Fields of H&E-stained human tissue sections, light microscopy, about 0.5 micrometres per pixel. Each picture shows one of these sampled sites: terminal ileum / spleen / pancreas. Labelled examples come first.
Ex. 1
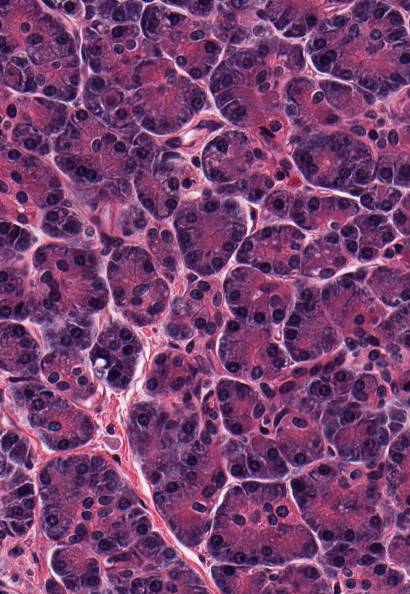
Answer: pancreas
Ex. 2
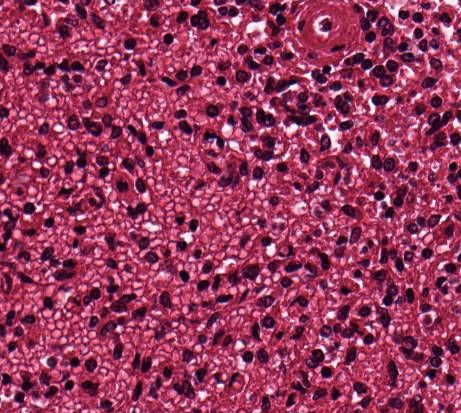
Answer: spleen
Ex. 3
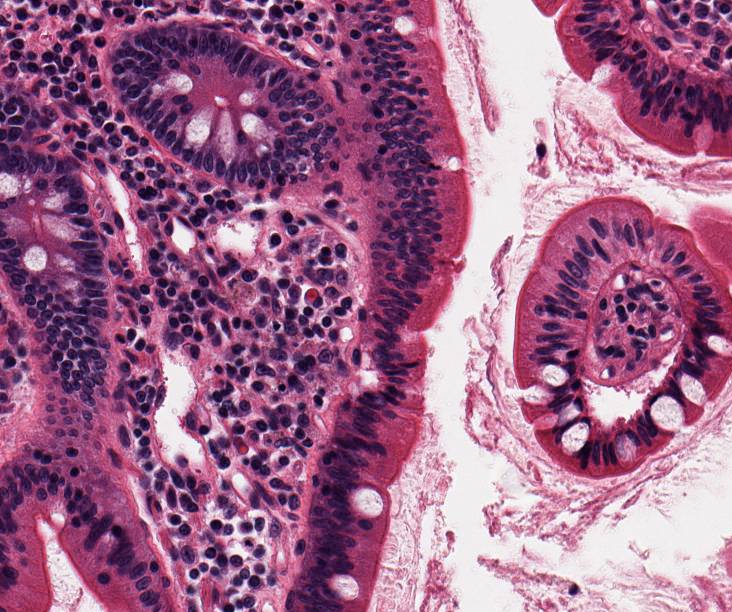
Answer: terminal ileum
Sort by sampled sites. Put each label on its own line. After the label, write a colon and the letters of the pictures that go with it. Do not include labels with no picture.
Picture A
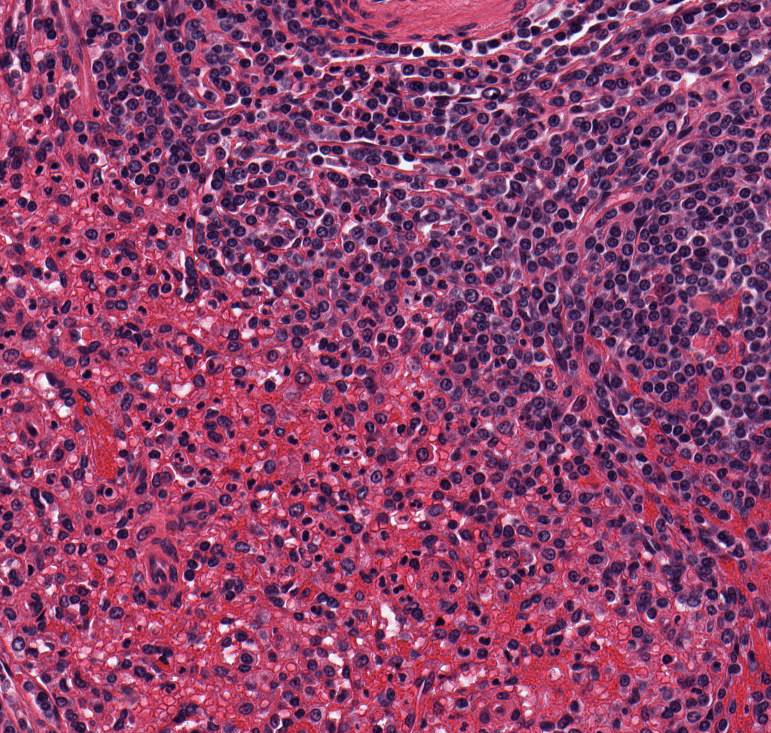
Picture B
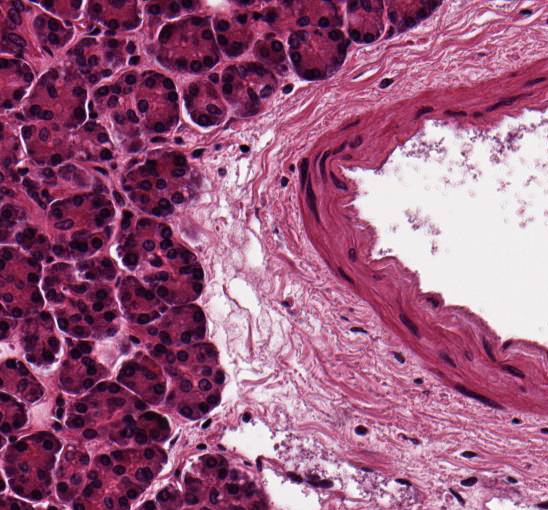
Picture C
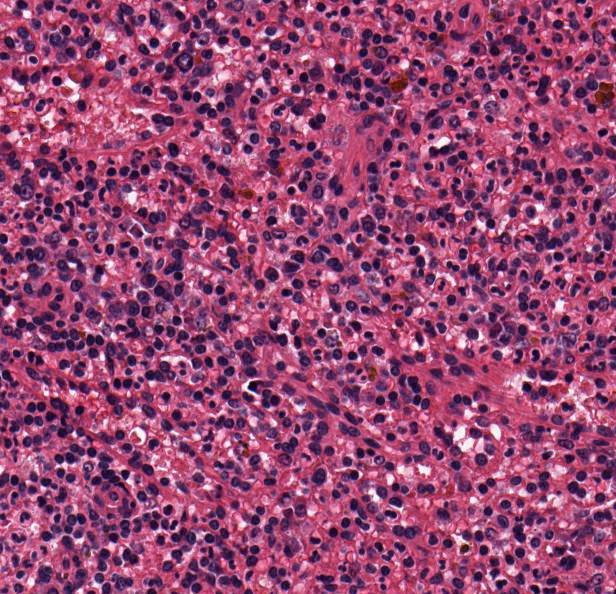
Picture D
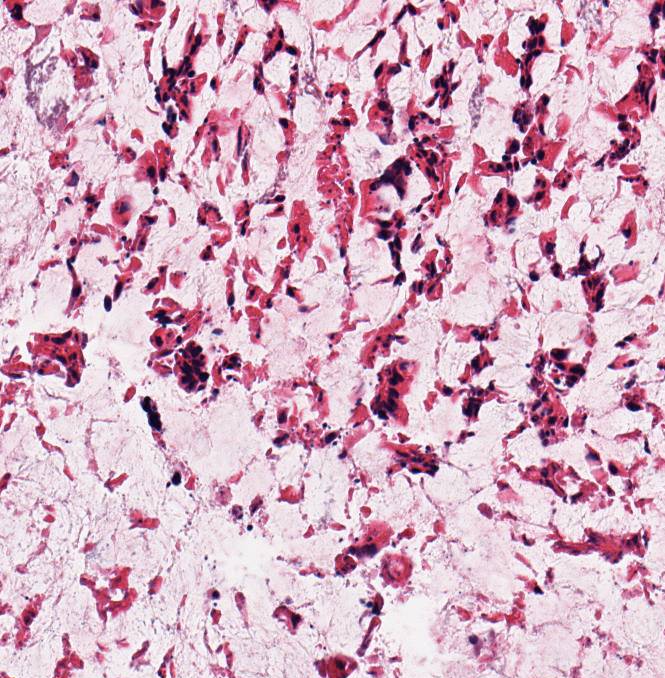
terminal ileum: D
spleen: A, C
pancreas: B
